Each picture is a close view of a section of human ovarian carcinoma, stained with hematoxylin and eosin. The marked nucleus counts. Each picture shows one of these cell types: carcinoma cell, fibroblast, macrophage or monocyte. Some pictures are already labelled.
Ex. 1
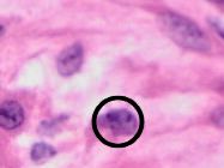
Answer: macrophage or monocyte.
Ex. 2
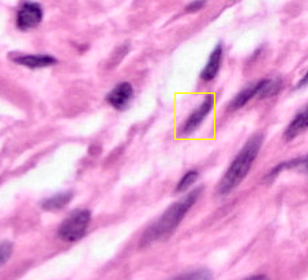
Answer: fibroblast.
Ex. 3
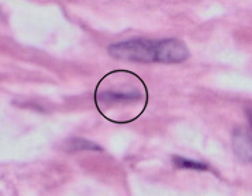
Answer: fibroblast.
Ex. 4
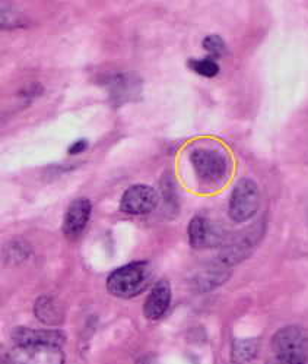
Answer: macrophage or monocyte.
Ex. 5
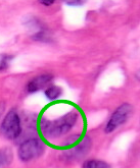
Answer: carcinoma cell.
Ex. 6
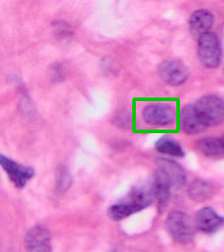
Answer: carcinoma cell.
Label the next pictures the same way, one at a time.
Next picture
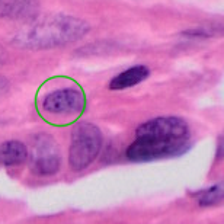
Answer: macrophage or monocyte.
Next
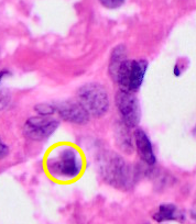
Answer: carcinoma cell.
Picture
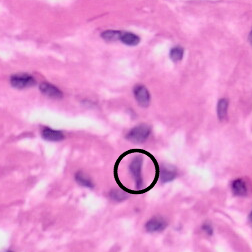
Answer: fibroblast.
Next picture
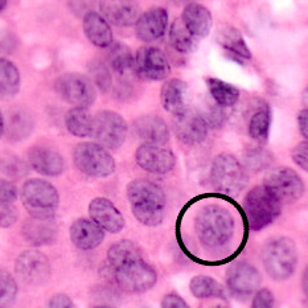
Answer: carcinoma cell.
